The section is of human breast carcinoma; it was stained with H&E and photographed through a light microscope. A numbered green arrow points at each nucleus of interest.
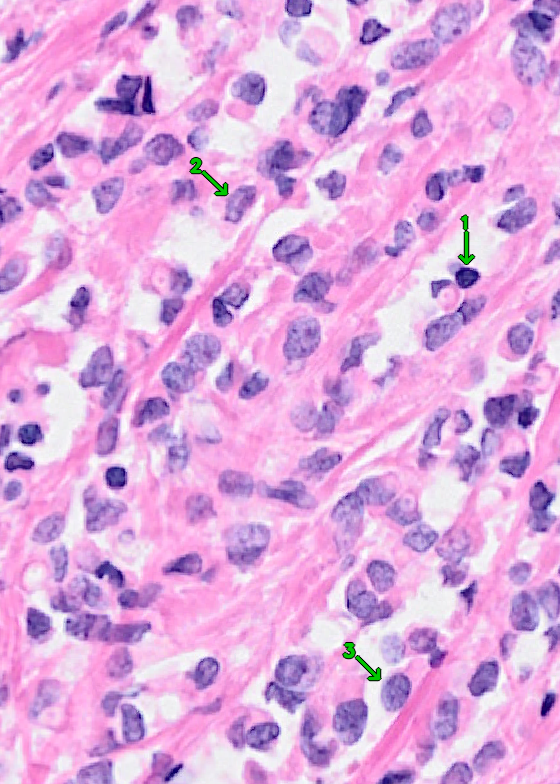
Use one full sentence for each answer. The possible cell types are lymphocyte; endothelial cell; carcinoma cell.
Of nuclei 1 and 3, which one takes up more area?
Of the two, number 3 is bigger and takes up about 2 times the area of number 1.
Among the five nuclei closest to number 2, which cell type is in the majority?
Around number 2, most of the five nearest nuclei are those of carcinoma cells.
